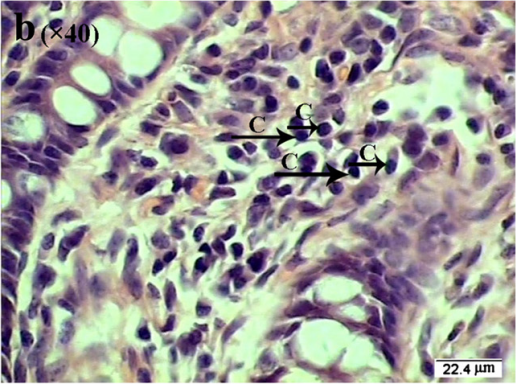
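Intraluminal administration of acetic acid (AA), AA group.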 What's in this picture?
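Colonic lamina propria between crypts, densely packed with small round cells that have dark, compact nuclei and scant cytoplasm, the look of lymphocytes. A few pale, rounded goblet cells remain in the crypt epithelium at the upper left and lower edge. The stroma between the crypts is crowded and loose, with the infiltrating cells scattered through it.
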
